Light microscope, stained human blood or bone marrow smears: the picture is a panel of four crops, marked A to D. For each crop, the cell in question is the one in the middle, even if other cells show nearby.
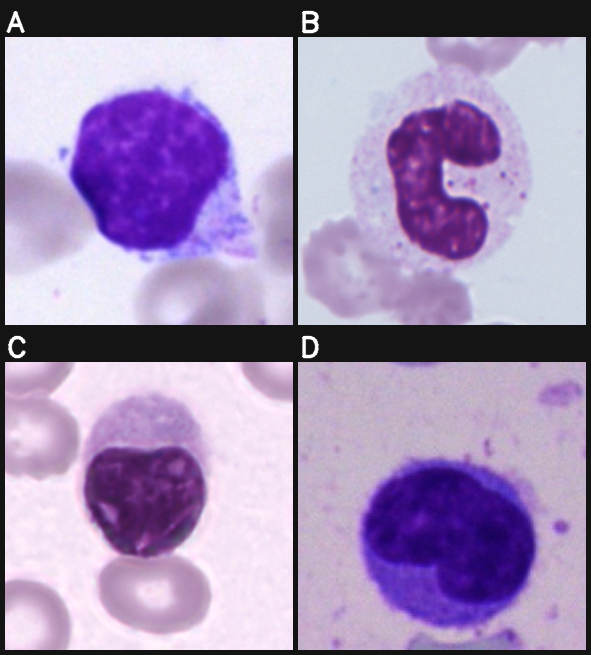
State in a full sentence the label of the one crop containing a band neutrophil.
The crop that shows a band neutrophil is crop B.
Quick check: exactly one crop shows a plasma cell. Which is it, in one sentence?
Crop C is the one in this set that shows a plasma cell.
